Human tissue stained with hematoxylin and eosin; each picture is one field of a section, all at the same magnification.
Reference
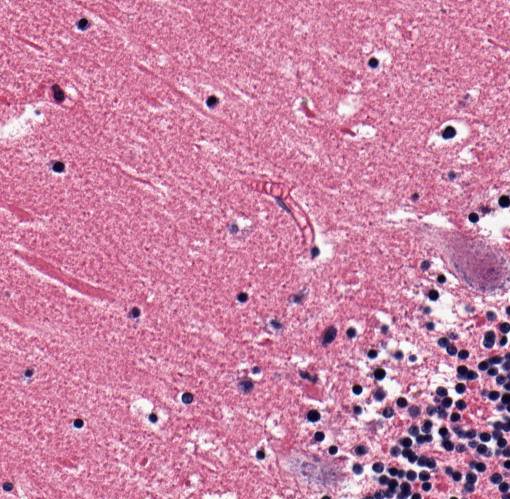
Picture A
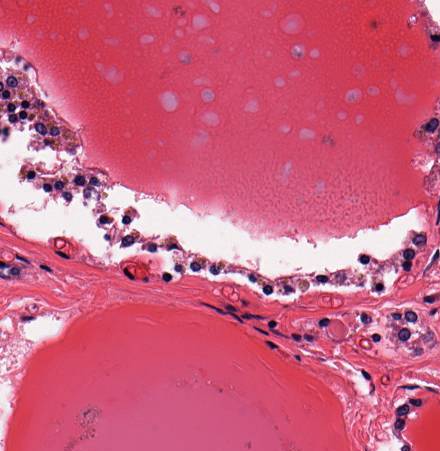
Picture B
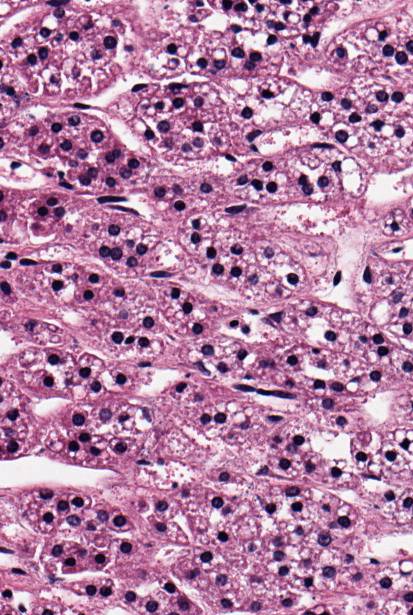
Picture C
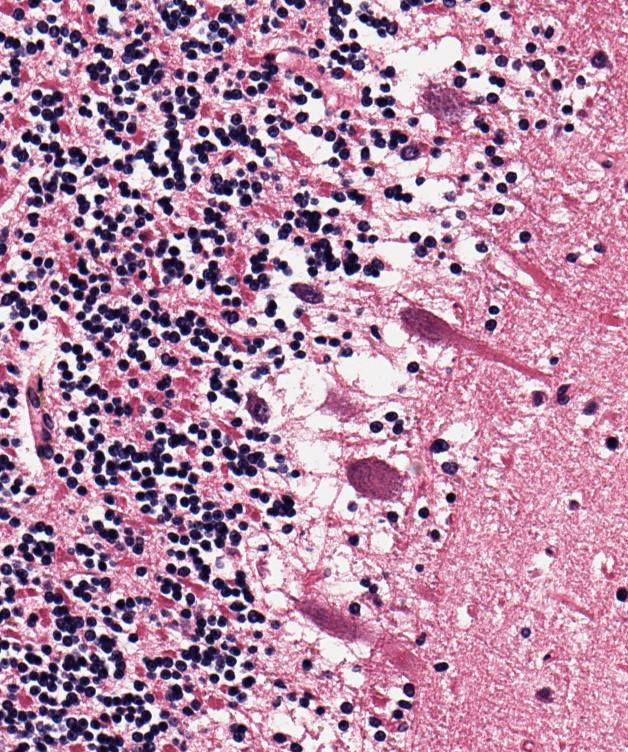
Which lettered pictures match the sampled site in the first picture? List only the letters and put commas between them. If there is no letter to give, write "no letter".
C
